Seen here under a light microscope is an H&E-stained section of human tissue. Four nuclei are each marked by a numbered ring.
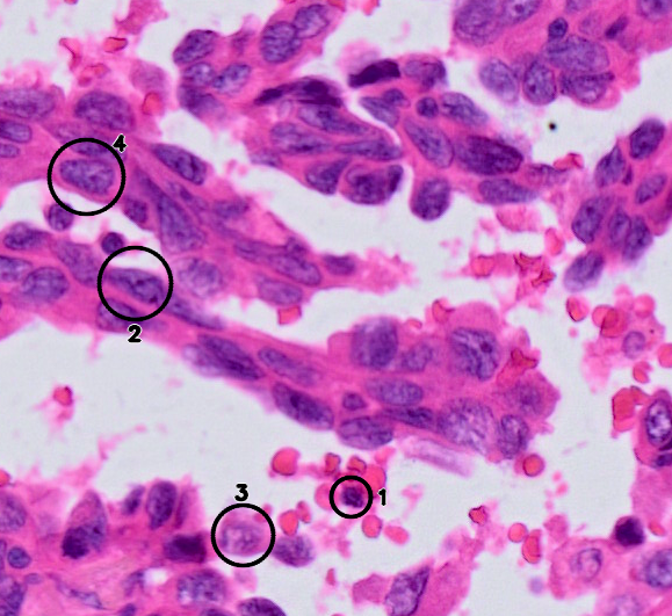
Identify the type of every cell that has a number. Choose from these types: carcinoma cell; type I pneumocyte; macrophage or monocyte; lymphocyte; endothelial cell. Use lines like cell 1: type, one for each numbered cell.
cell 1: lymphocyte
cell 2: carcinoma cell
cell 3: carcinoma cell
cell 4: carcinoma cell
